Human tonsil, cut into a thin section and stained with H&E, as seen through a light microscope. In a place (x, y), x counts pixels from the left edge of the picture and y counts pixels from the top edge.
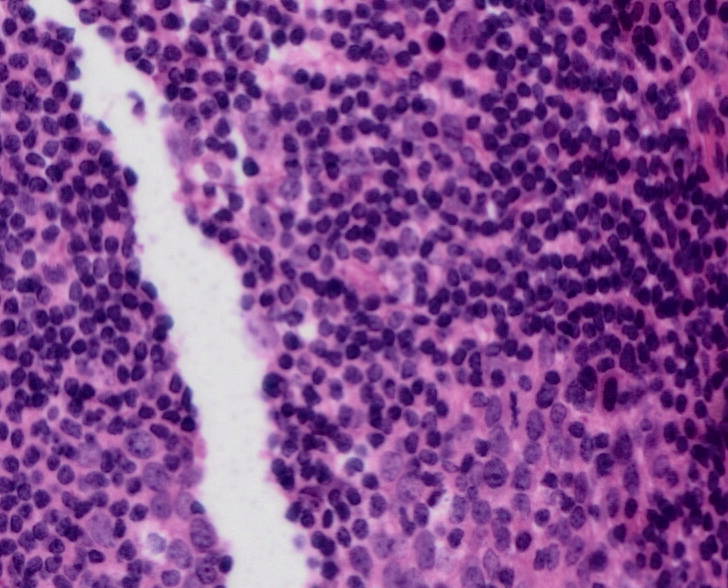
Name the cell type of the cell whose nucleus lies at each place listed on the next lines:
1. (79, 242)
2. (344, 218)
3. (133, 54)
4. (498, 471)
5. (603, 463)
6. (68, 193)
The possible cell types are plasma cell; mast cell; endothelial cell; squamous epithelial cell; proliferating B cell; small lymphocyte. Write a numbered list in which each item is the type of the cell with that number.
1. small lymphocyte
2. small lymphocyte
3. small lymphocyte
4. proliferating B cell
5. proliferating B cell
6. small lymphocyte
